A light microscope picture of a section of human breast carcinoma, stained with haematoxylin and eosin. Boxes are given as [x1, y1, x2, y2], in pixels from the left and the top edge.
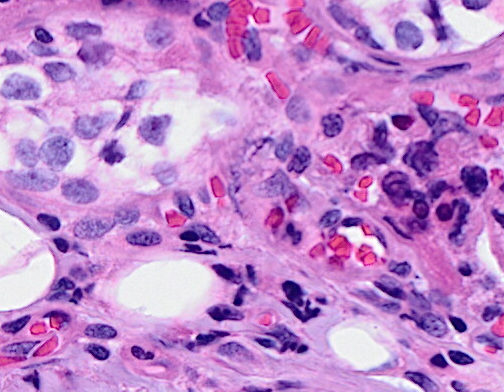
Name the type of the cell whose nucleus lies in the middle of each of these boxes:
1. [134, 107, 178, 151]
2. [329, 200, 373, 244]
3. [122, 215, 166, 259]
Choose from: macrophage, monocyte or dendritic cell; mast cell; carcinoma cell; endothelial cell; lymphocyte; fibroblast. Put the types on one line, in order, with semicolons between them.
carcinoma cell; endothelial cell; mast cell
